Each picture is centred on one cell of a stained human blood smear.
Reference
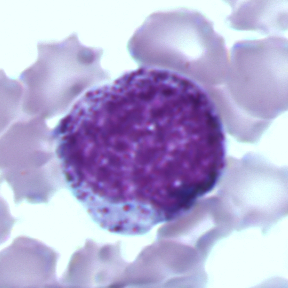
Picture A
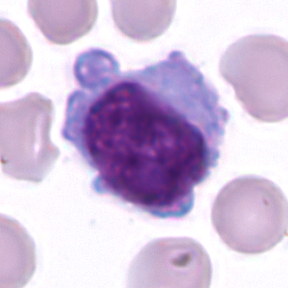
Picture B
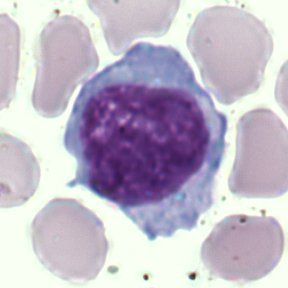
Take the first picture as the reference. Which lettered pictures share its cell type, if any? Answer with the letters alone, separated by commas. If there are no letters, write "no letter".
no letter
